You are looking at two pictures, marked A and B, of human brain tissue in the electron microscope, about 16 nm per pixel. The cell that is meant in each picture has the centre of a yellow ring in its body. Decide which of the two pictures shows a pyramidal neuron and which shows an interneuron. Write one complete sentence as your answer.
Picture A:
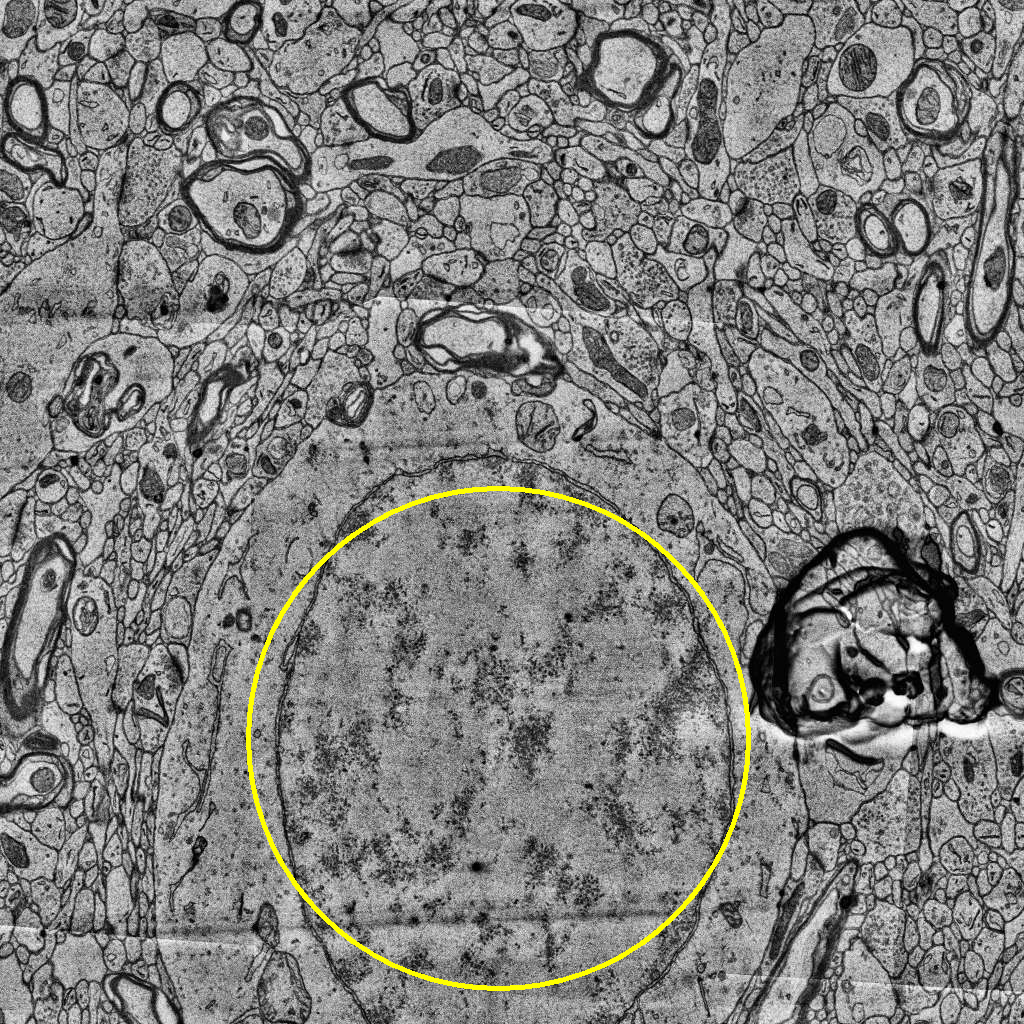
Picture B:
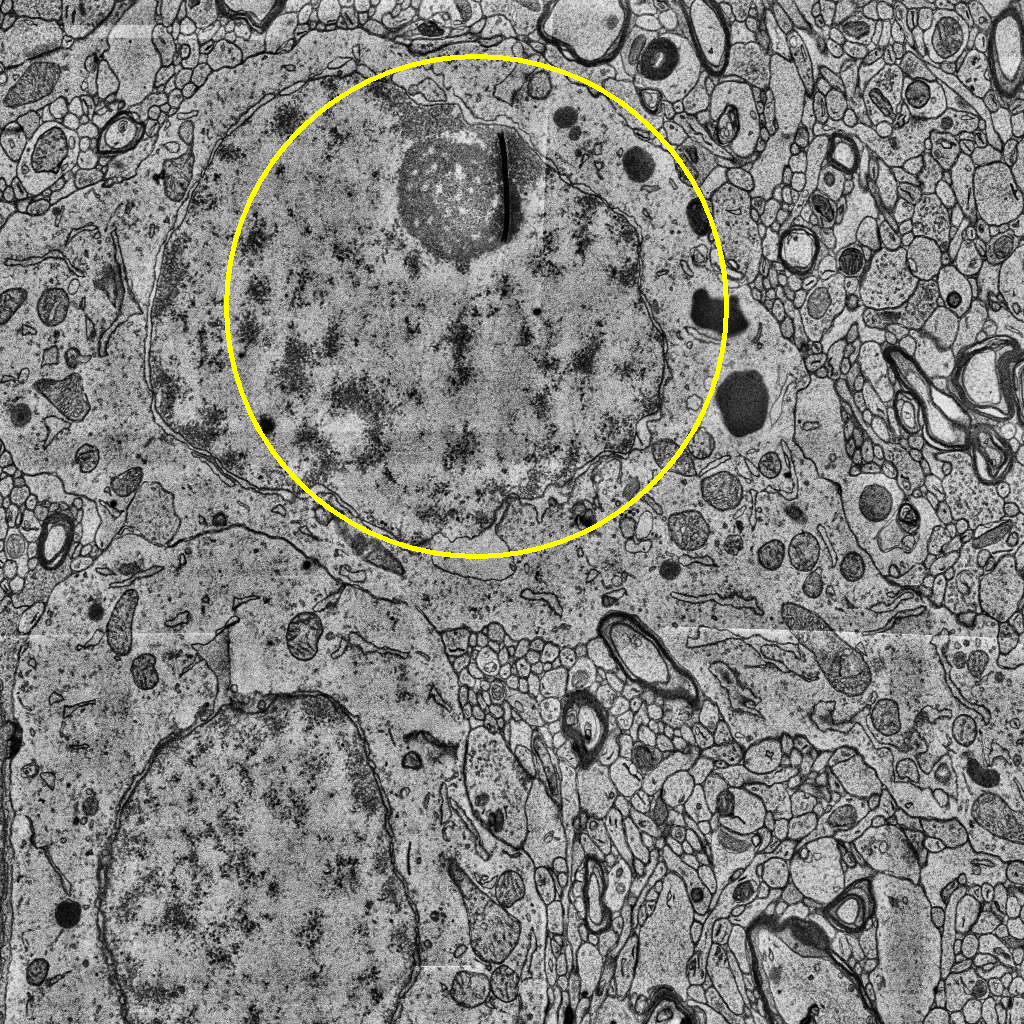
Picture A shows a pyramidal neuron and picture B shows an interneuron.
